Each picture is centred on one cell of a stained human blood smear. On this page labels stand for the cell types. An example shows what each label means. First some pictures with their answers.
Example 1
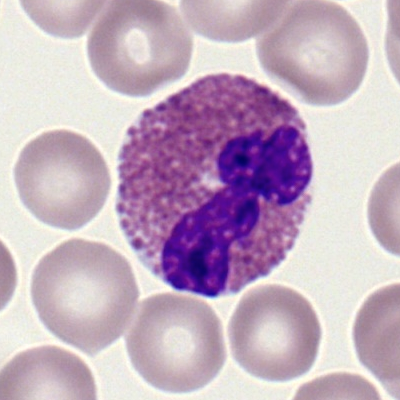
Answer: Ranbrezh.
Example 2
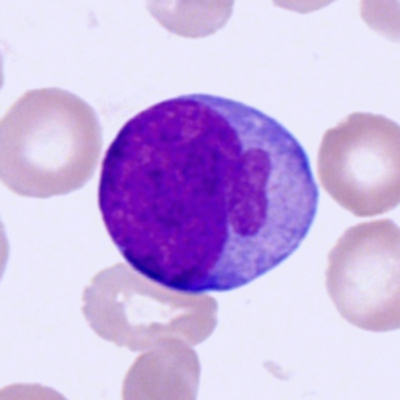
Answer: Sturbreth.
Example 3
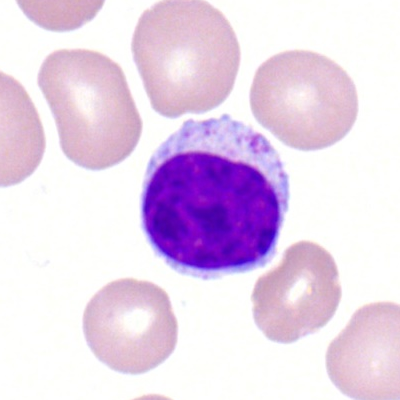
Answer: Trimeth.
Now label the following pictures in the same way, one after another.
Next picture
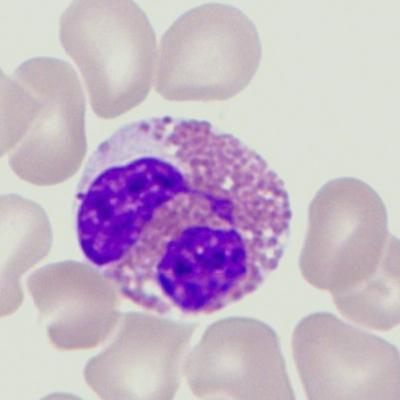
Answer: Ranbrezh.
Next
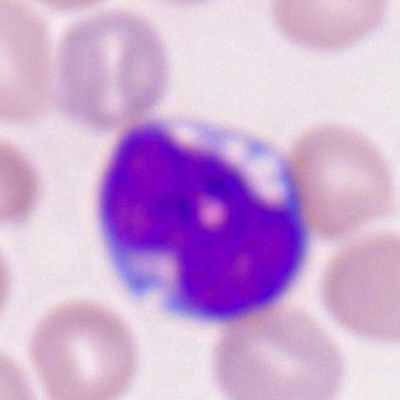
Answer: Sturbreth.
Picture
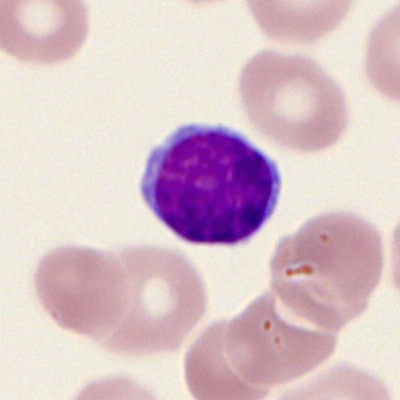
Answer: Trimeth.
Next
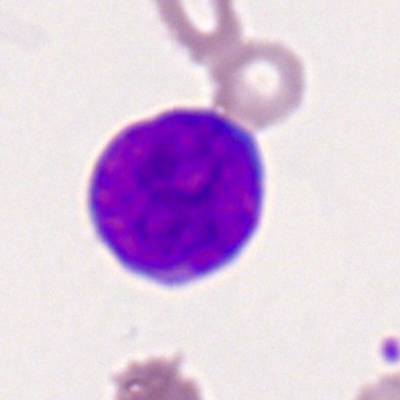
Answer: Sturbreth.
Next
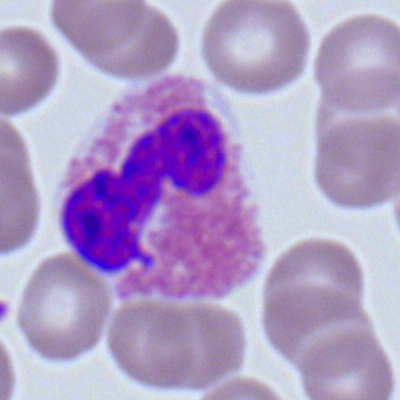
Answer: Ranbrezh.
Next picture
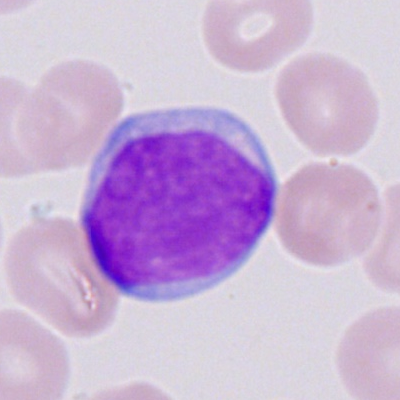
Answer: Sturbreth.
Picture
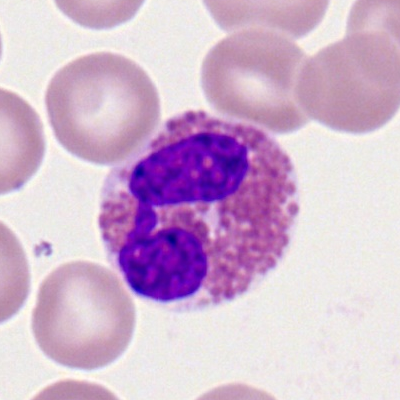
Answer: Ranbrezh.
